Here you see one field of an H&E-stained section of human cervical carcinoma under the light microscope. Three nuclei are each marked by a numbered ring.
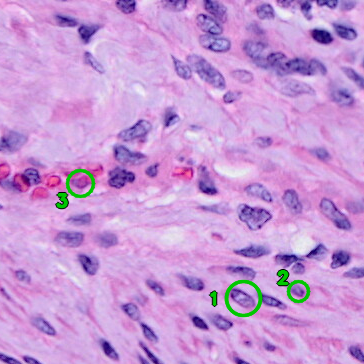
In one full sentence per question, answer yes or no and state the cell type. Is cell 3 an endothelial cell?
Yes, the numbered cell 3 is an endothelial cell.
